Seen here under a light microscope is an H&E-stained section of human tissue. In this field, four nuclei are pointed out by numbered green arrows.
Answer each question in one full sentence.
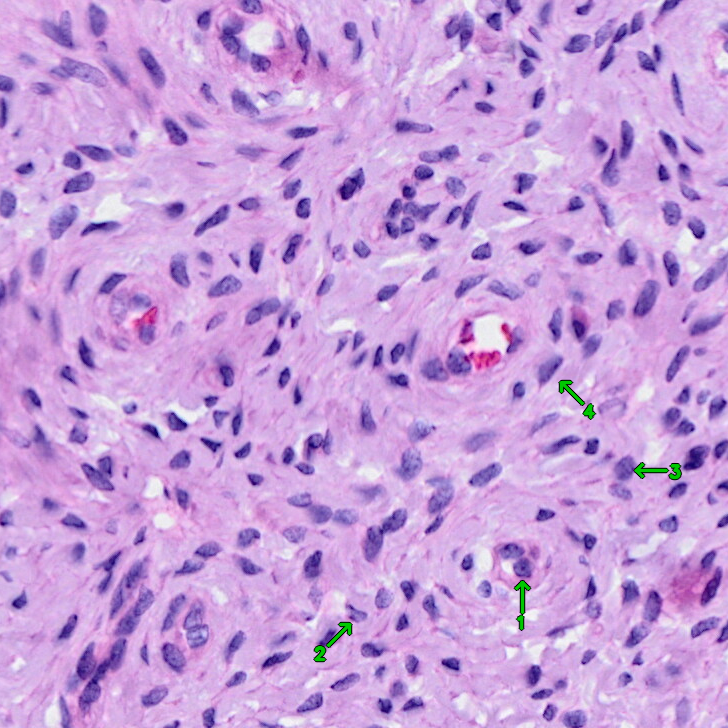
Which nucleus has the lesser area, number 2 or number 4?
The smaller nucleus is 2, and 4 covers roughly 2 times its area.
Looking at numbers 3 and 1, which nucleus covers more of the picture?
Nucleus 3 is the larger one, covering about 1.5 times the area of nucleus 1.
